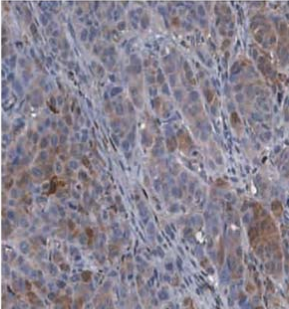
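The nuclei are round to oval, vary in size and stain blue. Many cells have brown-stained cytoplasm, and the intensity differs from cell to cell: some are deeply brown, others are almost unstained. Thin strands of elongated spindle-shaped stromal cells with slender nuclei run between the clusters of tumor cells, giving a loosely streaming pattern. A few small clear spaces are scattered through the tissue.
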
